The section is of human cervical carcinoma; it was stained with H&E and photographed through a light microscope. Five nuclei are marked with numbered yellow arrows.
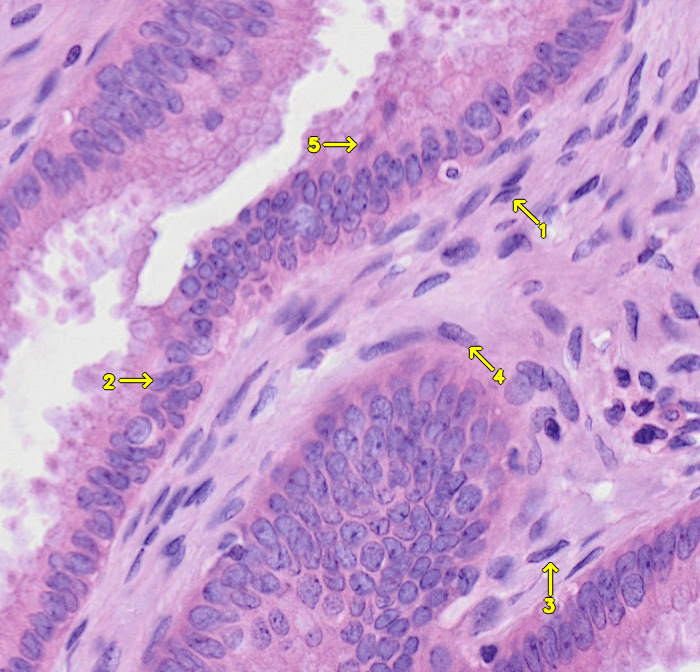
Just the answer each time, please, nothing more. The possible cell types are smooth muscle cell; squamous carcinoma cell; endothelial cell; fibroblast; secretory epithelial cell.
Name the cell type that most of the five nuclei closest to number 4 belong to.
secretory epithelial cell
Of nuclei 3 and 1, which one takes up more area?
3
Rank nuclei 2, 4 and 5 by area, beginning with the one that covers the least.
5, 2, 4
